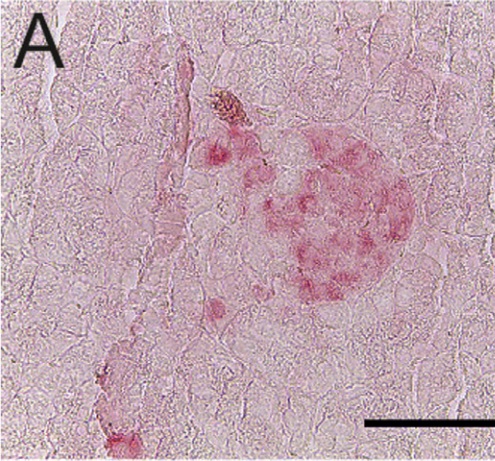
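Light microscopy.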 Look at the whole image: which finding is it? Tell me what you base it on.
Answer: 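Red-stained cells form a small rounded cluster without a clear boundary. Isolated red-stained cells and small groups lie scattered outside the main cluster among the surrounding tissue. That points to this answer: lost demarcation to exocrine issue.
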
